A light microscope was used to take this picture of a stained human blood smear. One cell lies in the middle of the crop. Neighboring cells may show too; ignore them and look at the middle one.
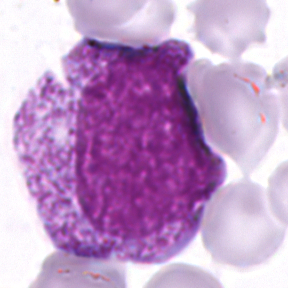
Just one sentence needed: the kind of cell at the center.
The cell at the middle of the crop is recognized as a promyelocyte.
